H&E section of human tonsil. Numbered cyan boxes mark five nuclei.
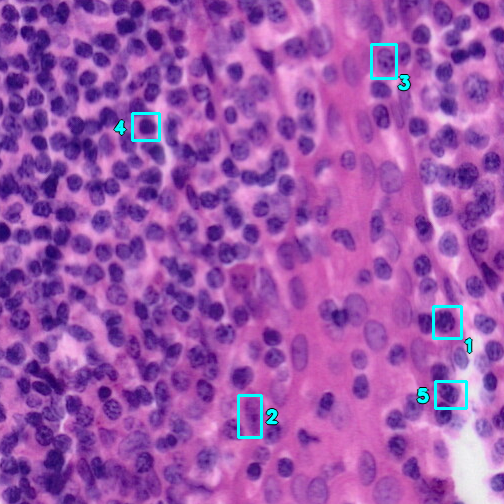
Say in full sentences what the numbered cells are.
Cell 1 is a plasma cell, cell 2 is a squamous epithelial cell, cell 3 is a plasma cell, cell 4 is a small lymphocyte and cell 5 is a plasma cell.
